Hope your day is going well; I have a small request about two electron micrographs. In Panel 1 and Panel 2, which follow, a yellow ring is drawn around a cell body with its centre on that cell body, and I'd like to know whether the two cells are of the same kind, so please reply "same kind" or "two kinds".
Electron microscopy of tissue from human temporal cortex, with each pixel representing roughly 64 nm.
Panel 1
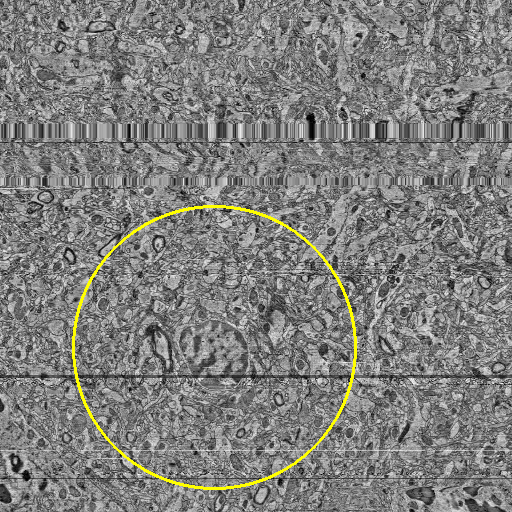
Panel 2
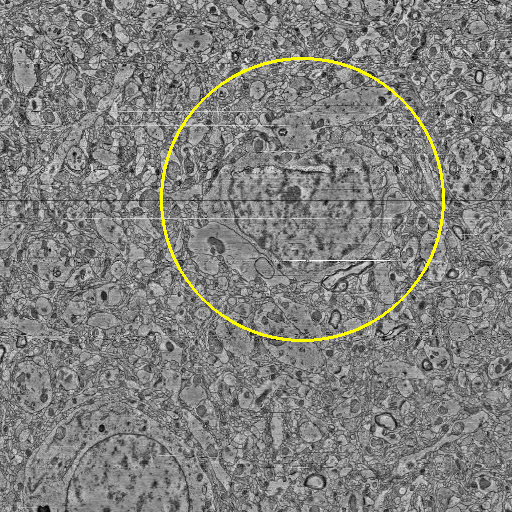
two kinds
